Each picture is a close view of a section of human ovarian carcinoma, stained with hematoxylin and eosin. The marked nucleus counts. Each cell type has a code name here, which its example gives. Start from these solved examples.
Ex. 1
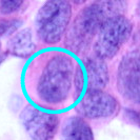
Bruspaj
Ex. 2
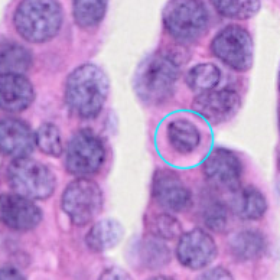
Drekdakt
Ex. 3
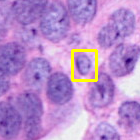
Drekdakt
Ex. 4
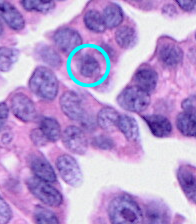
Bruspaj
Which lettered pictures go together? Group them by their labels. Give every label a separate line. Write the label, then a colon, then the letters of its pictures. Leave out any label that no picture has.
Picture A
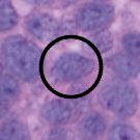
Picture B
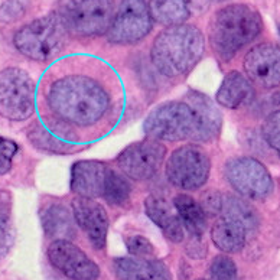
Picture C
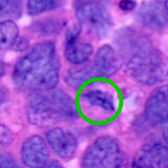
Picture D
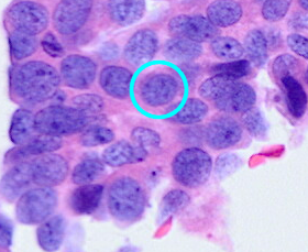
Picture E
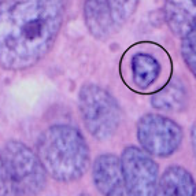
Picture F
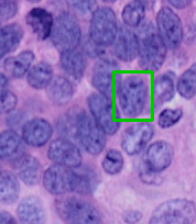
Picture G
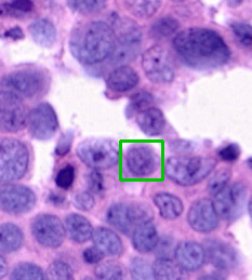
Bruspaj: A, B, D, F, G
Drekdakt: C, E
